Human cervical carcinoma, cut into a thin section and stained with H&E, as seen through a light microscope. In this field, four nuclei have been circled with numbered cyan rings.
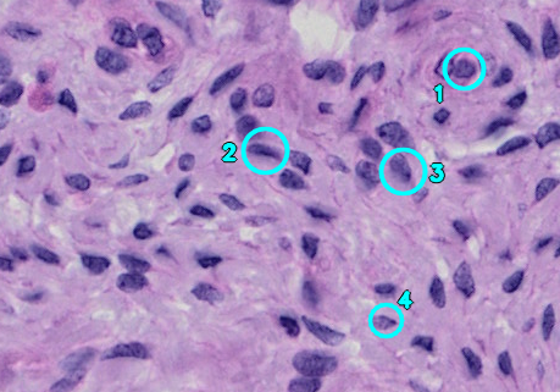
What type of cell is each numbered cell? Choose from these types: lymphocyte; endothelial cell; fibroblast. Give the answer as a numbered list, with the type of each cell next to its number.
1. endothelial cell
2. fibroblast
3. fibroblast
4. fibroblast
